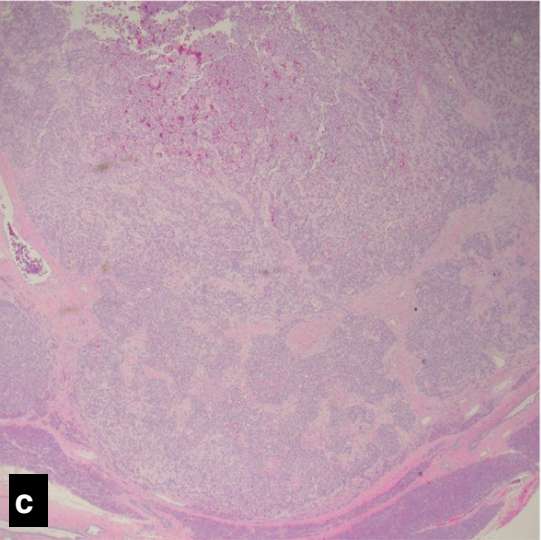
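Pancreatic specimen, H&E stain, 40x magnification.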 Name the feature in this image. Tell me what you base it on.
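Intact capsule. A continuous pink fibrous band curves along the lower part of the section. The band separates the densely cellular nodular area above from differently textured tissue below.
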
